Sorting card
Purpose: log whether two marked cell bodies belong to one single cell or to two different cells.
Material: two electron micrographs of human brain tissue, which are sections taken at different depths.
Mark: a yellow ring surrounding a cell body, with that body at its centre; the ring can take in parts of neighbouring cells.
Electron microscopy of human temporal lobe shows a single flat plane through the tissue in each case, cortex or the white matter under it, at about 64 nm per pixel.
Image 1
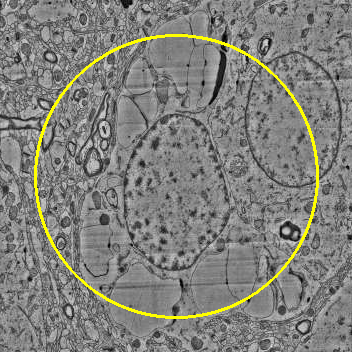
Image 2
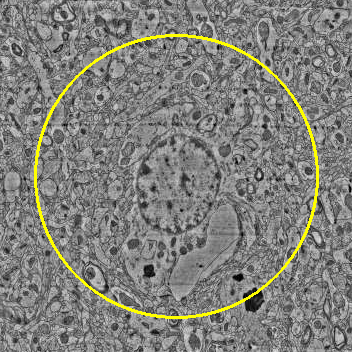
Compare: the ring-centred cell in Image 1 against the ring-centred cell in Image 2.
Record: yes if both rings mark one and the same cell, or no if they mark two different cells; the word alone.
no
